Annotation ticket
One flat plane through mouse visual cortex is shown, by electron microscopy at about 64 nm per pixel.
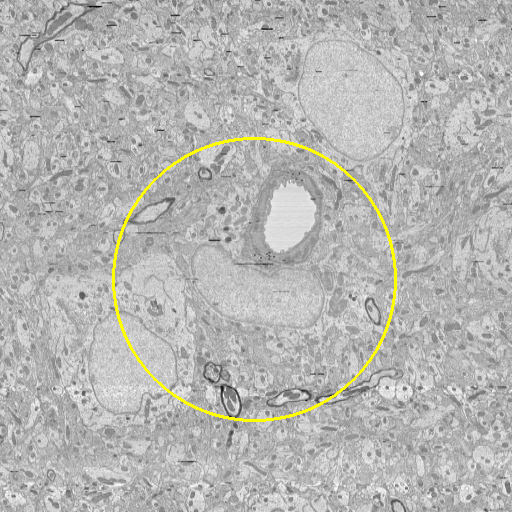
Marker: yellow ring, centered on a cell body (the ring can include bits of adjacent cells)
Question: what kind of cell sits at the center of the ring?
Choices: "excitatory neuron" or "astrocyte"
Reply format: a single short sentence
The ring is centered on an astrocyte.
